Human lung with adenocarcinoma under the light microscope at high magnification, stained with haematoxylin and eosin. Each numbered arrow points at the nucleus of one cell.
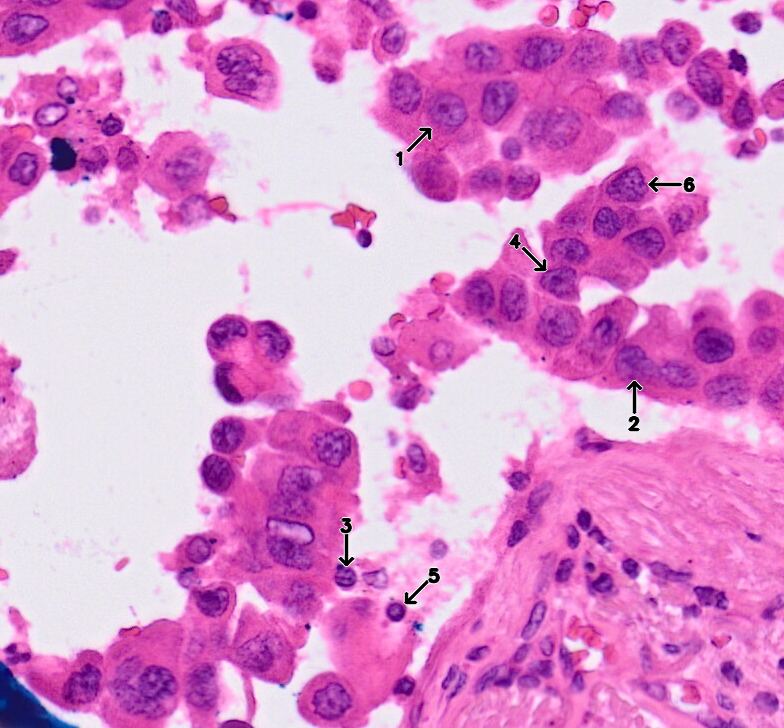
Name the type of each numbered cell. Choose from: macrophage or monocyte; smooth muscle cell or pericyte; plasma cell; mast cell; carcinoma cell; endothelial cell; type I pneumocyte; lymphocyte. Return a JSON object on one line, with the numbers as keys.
{"1": "carcinoma cell", "2": "carcinoma cell", "3": "lymphocyte", "4": "carcinoma cell", "5": "lymphocyte", "6": "carcinoma cell"}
